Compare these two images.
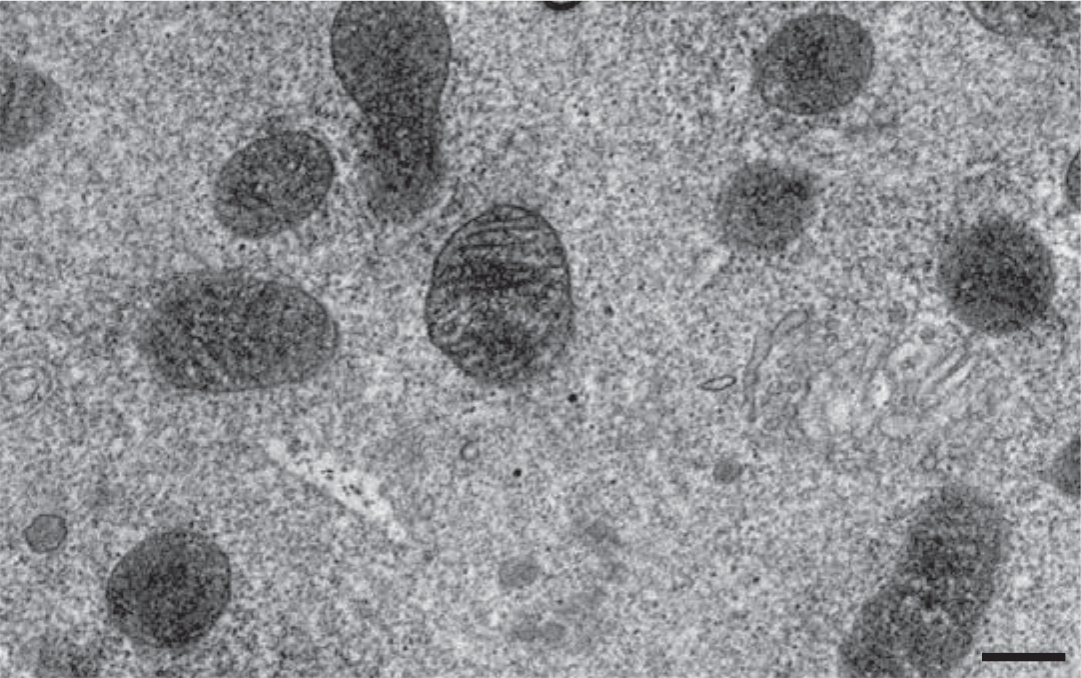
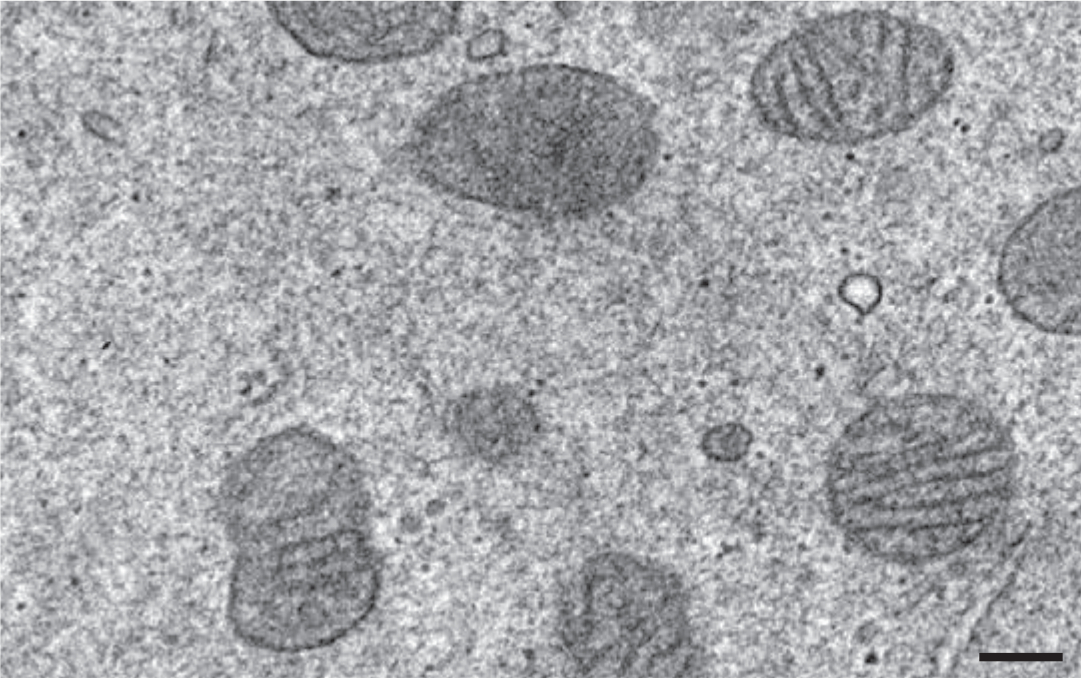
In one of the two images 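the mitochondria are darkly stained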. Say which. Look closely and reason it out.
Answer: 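The first image. First image: mitochondria are much darker than the surrounding cytoplasm, with dense granular staining. Second image: mitochondria are pale grey, only slightly darker than the cytoplasm, with cristae clearly outlined.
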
